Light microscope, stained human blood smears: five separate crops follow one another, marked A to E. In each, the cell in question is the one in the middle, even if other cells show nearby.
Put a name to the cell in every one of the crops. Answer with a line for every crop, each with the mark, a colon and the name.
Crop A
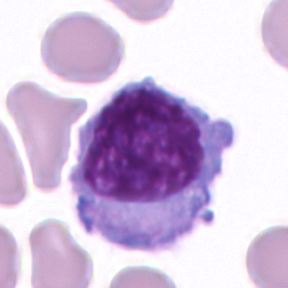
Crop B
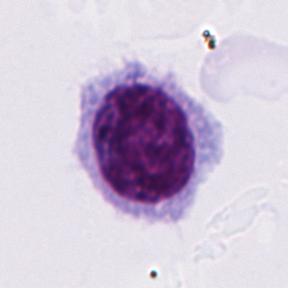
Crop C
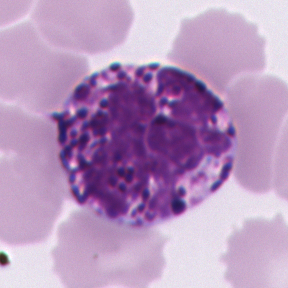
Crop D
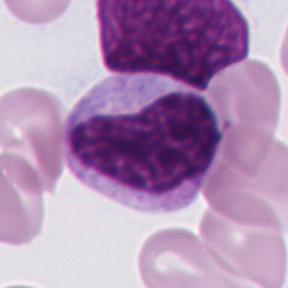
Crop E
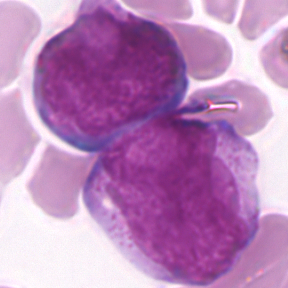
A: plasma cell
B: hairy cell
C: basophil
D: metamyelocyte
E: atypical promyelocyte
